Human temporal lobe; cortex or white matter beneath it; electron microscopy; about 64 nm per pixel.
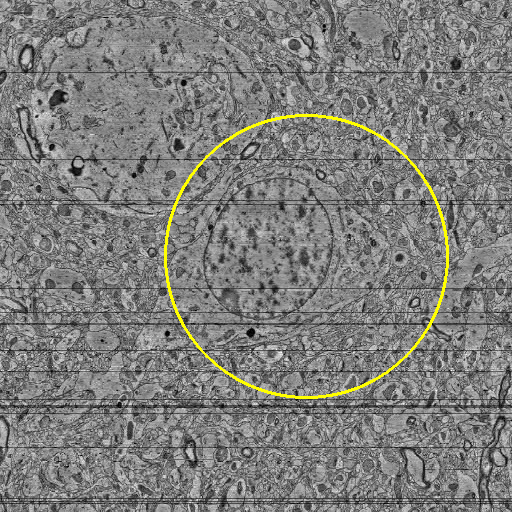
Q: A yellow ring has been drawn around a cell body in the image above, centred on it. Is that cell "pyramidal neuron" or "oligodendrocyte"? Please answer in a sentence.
The ring surrounds the cell body of a pyramidal neuron.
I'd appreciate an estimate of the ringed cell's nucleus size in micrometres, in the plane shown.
Approximately 10 by 8 micrometers in this plane.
